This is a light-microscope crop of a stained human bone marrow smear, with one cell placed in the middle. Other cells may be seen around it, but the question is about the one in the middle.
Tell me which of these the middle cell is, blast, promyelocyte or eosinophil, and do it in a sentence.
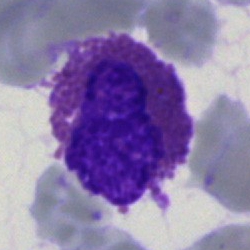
The central cell in this smear crop is an eosinophil.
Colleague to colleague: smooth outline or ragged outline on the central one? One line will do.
An irregular outline, ragged or marked by projections, surrounds this cell.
